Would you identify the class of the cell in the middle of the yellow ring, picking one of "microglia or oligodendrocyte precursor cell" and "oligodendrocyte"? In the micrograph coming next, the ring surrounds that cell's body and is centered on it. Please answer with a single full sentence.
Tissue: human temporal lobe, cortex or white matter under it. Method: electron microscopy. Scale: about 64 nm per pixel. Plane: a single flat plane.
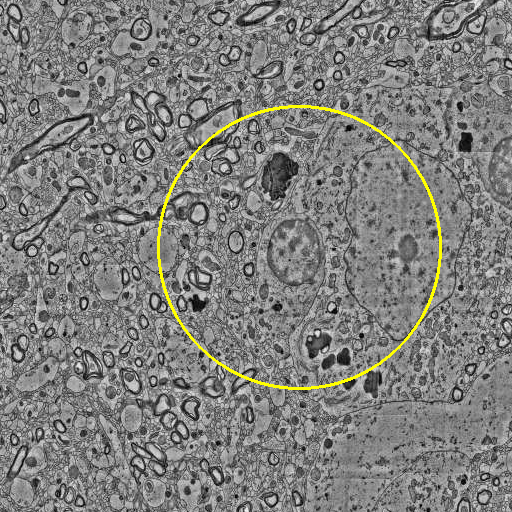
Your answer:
In the micrograph, it is an oligodendrocyte whose body lies at the ring's center.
